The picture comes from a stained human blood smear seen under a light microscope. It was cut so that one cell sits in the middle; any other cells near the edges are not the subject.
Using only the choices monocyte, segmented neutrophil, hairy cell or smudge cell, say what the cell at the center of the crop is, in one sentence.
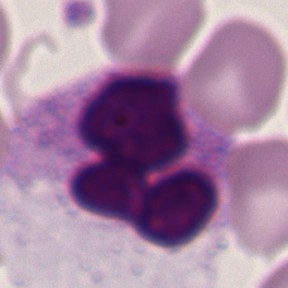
In the middle of this smear crop, the cell is a segmented neutrophil.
